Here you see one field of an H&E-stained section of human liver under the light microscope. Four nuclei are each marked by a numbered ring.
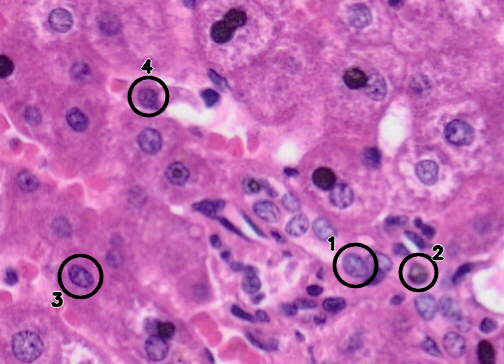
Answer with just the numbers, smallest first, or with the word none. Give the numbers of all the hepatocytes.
3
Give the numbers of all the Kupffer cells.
4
